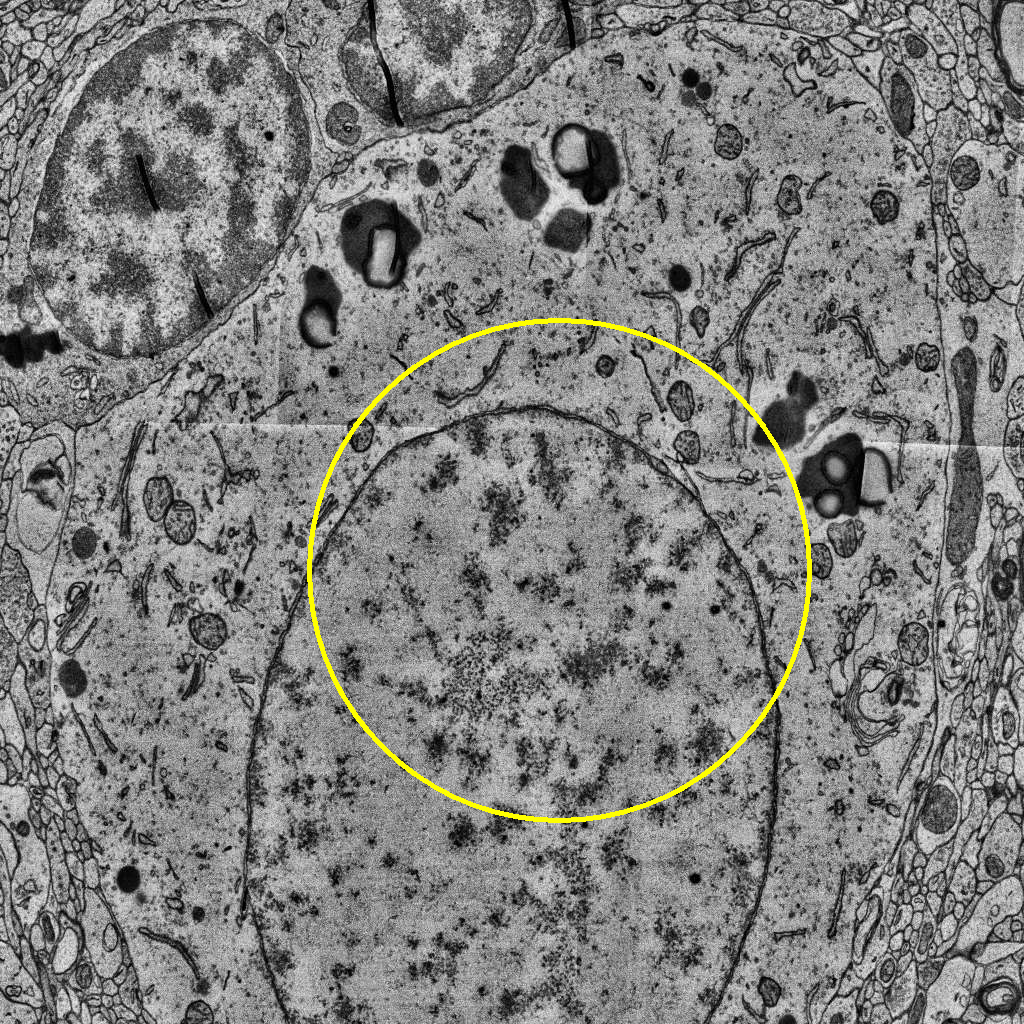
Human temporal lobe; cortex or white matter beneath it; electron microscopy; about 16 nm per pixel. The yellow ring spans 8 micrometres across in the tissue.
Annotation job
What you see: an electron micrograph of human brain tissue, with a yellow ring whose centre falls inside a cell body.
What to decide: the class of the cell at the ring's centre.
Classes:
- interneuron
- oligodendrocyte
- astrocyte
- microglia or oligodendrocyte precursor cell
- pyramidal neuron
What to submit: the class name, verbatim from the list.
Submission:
pyramidal neuron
